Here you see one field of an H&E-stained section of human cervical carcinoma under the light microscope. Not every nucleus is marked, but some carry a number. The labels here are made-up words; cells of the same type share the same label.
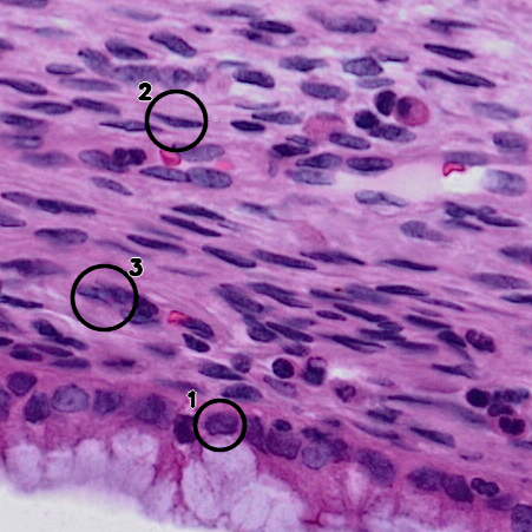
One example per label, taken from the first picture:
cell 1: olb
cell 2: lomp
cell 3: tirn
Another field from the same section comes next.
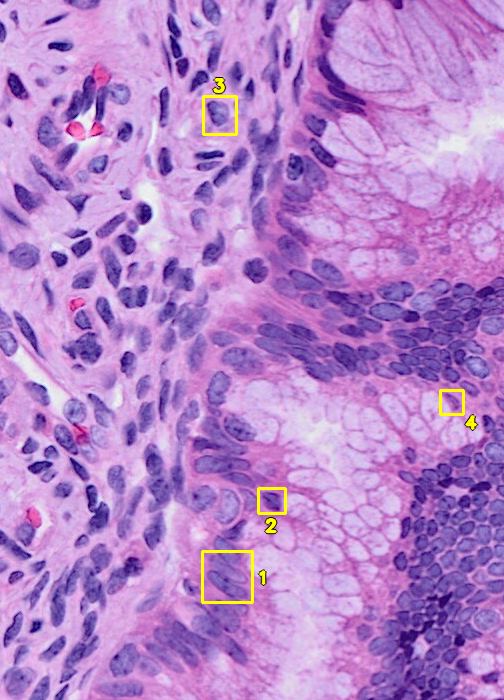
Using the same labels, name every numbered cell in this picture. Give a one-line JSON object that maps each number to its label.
{"1": "olb", "2": "olb", "3": "tirn", "4": "olb"}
